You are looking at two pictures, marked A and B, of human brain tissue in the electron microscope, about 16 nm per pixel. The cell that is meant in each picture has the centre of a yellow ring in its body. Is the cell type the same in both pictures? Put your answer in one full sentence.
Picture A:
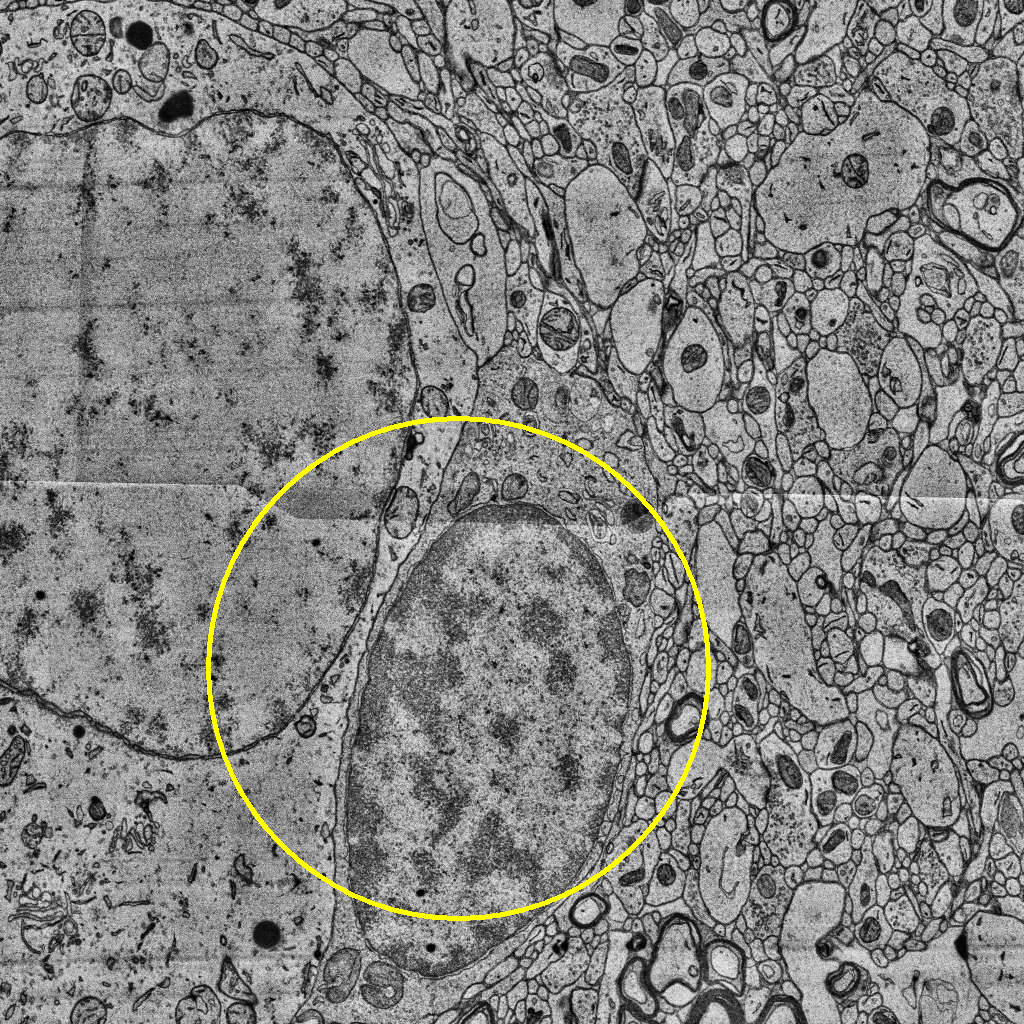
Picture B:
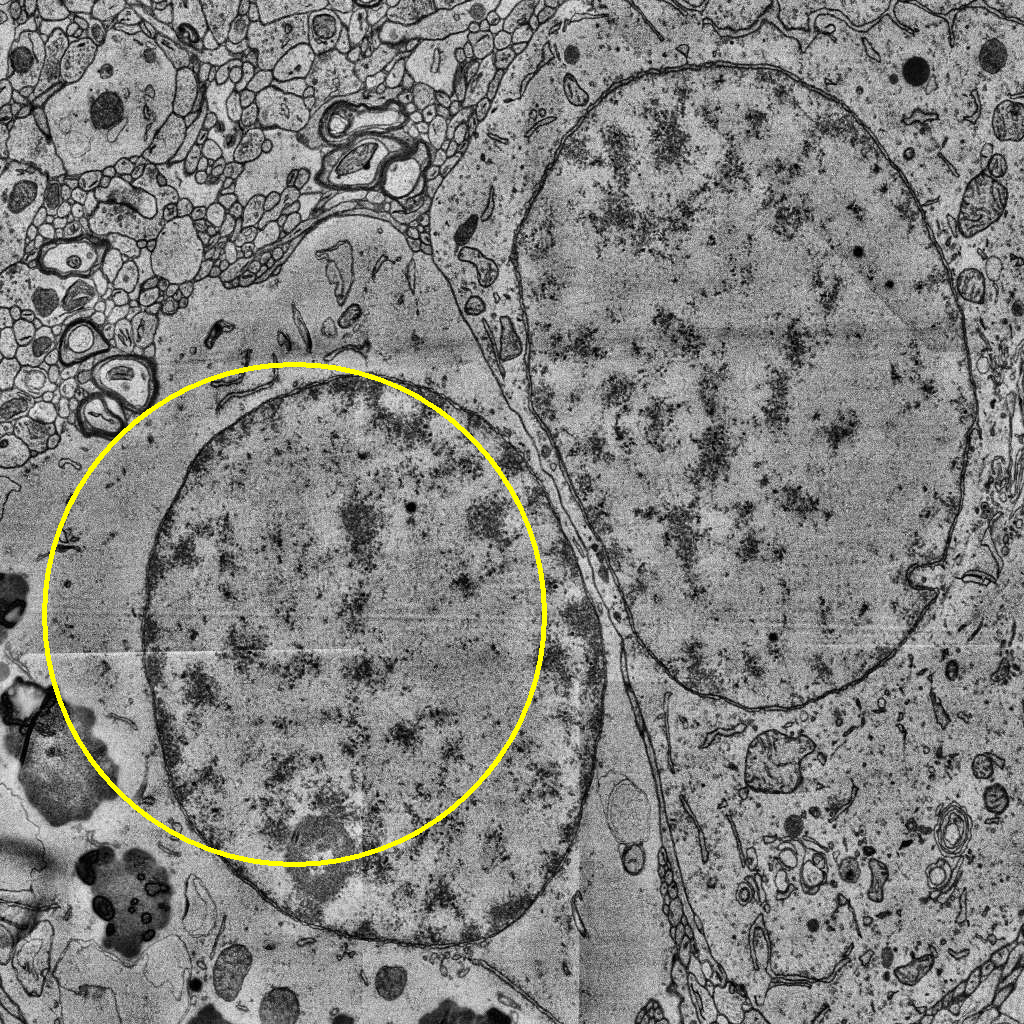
No, they differ: the cell is an oligodendrocyte in picture A and an astrocyte in picture B.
